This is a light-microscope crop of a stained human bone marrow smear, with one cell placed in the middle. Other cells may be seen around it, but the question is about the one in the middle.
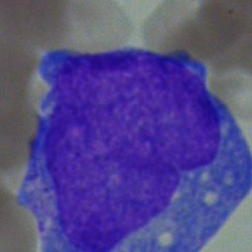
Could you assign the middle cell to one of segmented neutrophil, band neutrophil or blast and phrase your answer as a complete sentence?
The cell in the middle of the field of view is a blast.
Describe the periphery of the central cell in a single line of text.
An uneven margin is present, with either ragged stretches or outward projections.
